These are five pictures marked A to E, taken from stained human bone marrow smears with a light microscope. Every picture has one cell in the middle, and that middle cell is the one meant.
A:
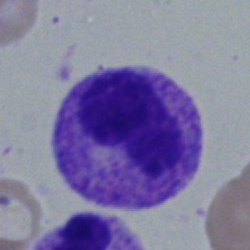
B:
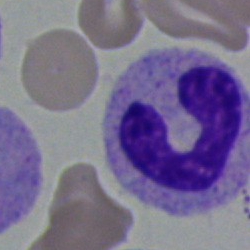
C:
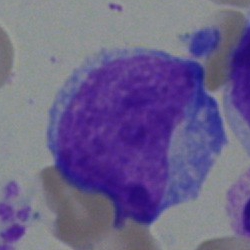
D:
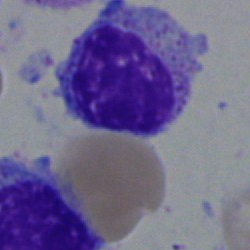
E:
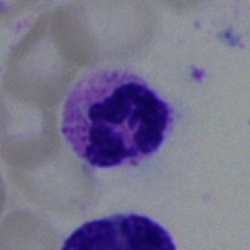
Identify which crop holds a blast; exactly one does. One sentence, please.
Crop C is the crop that shows a blast in its middle.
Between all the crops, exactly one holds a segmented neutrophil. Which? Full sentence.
It is the cell in crop E that is a segmented neutrophil.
